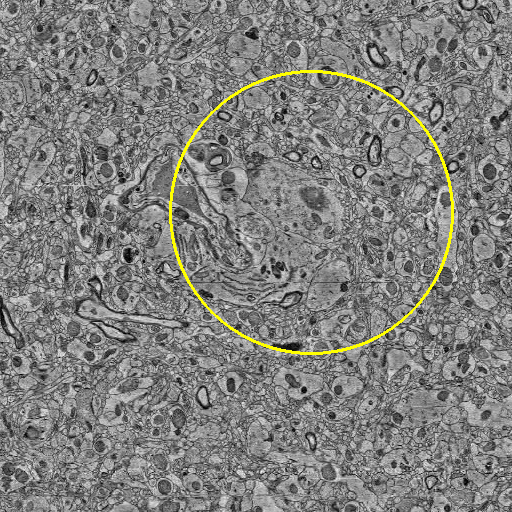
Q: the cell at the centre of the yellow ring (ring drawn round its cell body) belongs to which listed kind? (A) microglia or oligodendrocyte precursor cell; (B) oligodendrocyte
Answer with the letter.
B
